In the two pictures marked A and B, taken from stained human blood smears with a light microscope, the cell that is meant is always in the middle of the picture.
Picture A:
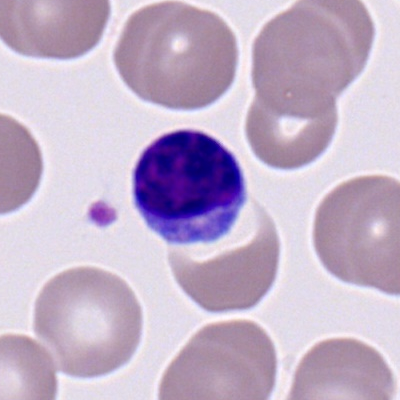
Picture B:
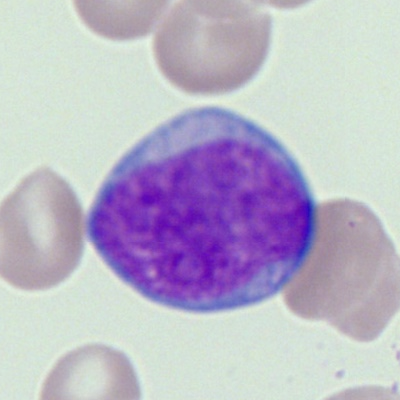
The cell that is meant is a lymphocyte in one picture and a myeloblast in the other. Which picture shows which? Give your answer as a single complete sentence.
Picture B shows a myeloblast, while picture A shows a lymphocyte.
